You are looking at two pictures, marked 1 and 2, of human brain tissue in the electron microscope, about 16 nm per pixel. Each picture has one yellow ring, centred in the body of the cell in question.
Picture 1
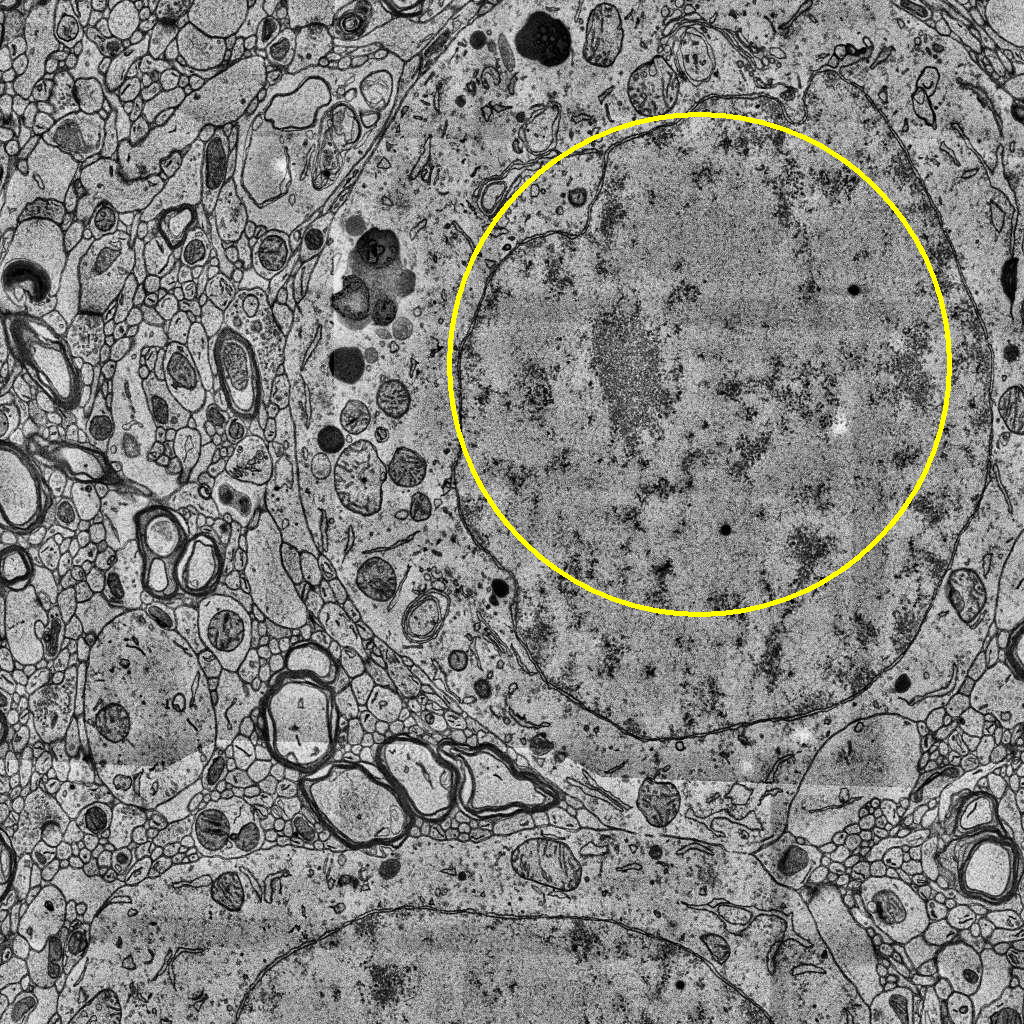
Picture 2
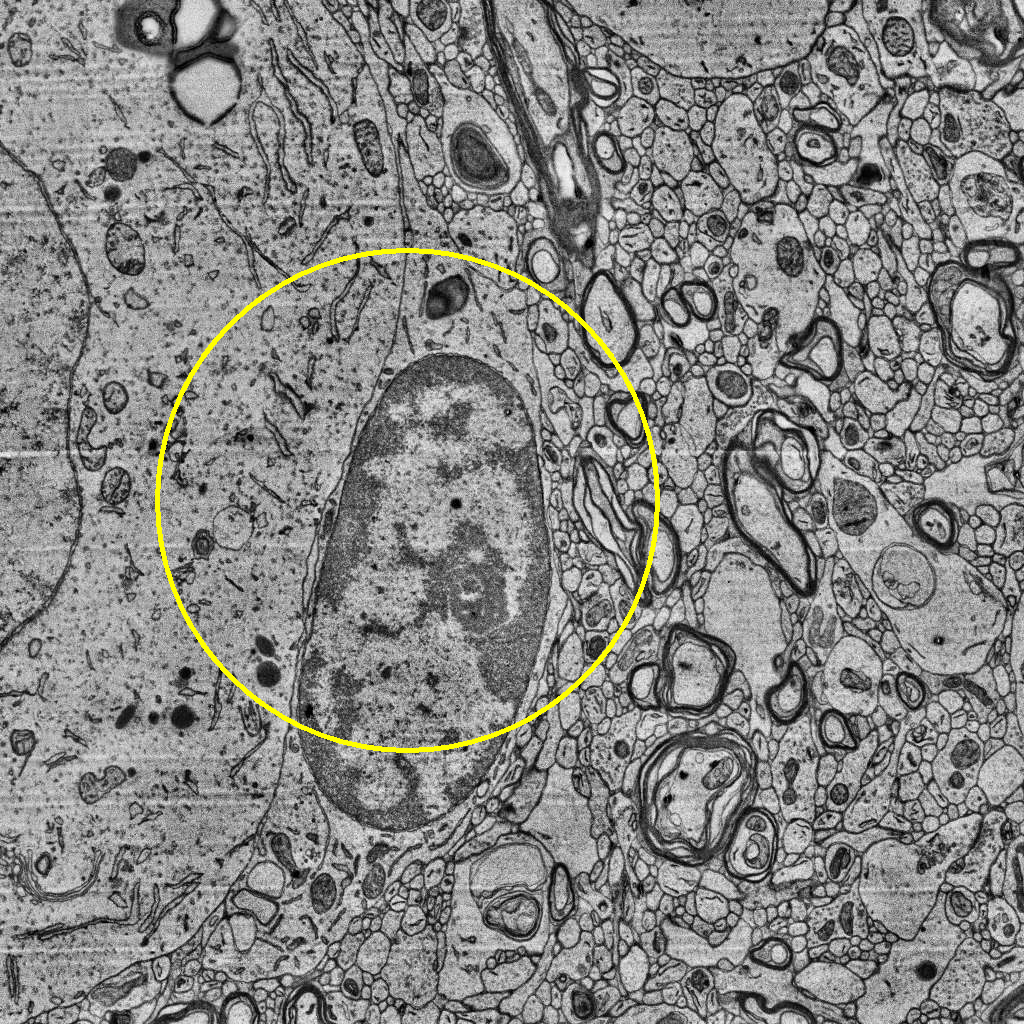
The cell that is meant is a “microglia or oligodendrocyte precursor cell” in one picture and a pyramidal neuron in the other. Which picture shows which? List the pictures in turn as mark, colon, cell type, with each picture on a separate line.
1: pyramidal neuron
2: microglia or oligodendrocyte precursor cell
